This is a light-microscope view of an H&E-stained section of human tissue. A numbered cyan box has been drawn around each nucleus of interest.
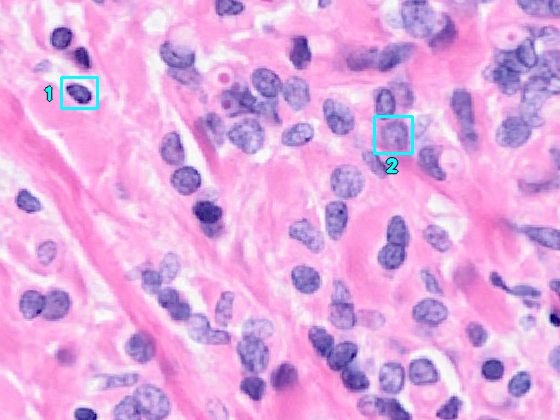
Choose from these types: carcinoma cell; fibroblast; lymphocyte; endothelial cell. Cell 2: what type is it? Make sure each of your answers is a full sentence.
The cell that goes by number 2 is a carcinoma cell.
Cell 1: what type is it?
The cell tagged with 1 in this tissue section is a lymphocyte.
